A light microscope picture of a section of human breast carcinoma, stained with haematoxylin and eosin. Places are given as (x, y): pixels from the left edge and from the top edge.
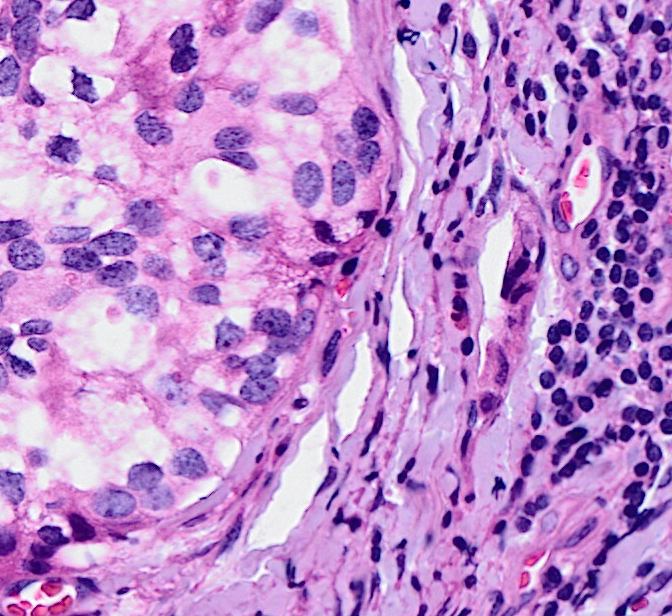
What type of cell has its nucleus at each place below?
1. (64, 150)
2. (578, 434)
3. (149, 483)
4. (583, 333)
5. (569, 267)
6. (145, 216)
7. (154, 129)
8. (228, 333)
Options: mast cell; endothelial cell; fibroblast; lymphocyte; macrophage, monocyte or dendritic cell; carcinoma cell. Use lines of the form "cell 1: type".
cell 1: carcinoma cell
cell 2: lymphocyte
cell 3: carcinoma cell
cell 4: lymphocyte
cell 5: endothelial cell
cell 6: carcinoma cell
cell 7: carcinoma cell
cell 8: carcinoma cell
